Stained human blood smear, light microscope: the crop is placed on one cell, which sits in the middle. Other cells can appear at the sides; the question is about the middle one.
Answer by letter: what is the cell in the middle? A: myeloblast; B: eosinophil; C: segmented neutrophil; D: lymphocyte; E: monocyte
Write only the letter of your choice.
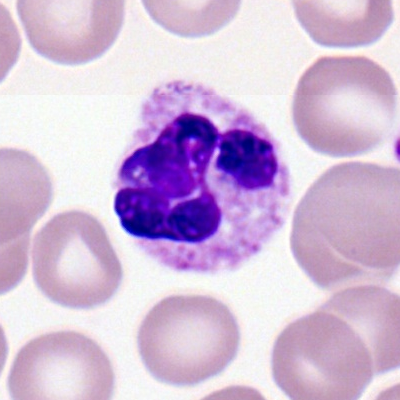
C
